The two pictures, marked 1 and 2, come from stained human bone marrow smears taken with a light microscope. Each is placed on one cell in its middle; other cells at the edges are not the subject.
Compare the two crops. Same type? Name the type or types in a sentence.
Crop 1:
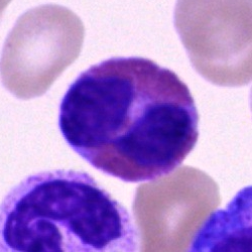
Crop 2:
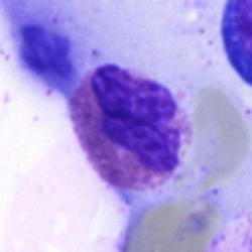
Yes, both crops have eosinophils at the centre.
